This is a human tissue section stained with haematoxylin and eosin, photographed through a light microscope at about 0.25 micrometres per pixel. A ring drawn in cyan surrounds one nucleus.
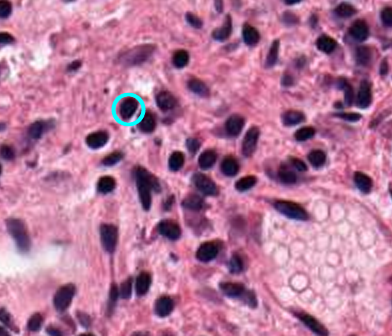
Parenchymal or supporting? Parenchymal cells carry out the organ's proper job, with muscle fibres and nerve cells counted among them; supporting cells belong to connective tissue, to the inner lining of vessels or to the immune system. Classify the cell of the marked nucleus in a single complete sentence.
Attributed to a supporting cell is the marked nucleus.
